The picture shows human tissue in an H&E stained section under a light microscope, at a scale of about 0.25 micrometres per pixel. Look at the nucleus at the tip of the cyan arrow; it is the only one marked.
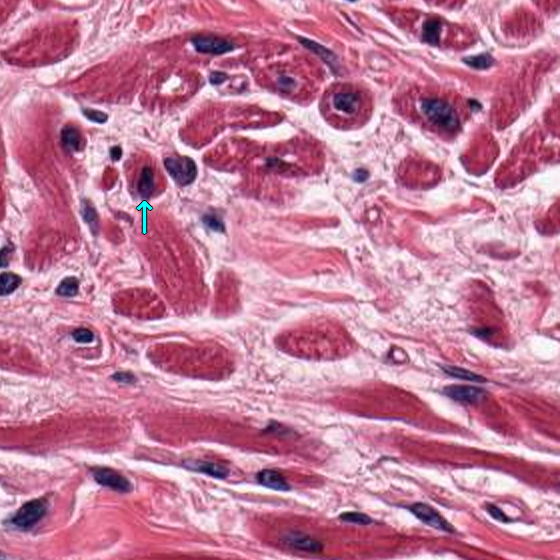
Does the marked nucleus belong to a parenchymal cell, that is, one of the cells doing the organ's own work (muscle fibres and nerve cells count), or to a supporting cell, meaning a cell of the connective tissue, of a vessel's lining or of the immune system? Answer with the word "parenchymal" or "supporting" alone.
parenchymal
